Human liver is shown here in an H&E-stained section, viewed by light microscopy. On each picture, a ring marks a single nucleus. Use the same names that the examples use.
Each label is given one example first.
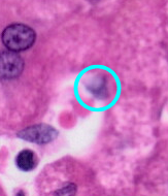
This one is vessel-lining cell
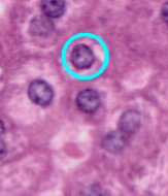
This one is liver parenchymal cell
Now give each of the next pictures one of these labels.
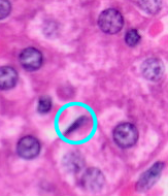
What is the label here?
vessel-lining cell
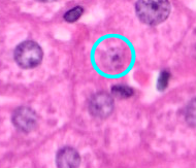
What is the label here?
liver parenchymal cell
